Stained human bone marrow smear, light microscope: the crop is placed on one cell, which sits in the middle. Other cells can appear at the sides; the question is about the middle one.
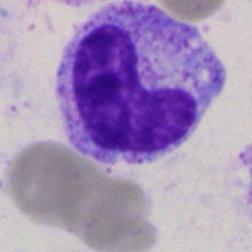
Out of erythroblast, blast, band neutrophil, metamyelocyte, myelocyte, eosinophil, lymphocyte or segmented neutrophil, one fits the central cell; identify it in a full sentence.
Regarding the central cell, it is a metamyelocyte.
